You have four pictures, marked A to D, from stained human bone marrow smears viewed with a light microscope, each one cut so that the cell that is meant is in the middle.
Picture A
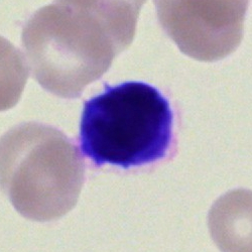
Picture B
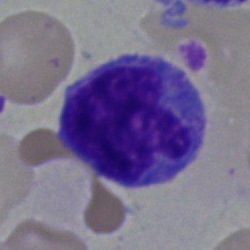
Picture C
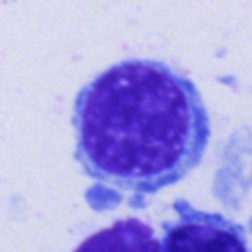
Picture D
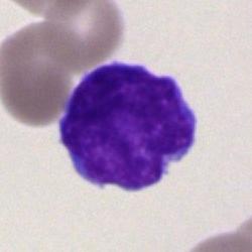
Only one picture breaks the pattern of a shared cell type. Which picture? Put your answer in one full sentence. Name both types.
All pictures except B show lymphocytes; picture B shows a monocyte.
